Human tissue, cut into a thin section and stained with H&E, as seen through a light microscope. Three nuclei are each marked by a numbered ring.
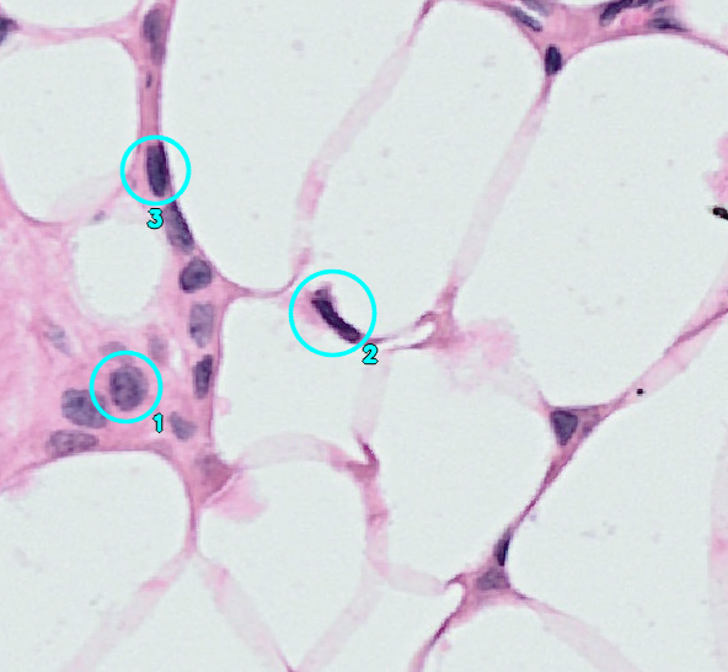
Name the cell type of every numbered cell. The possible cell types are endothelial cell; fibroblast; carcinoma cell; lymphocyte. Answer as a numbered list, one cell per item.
1. carcinoma cell
2. endothelial cell
3. endothelial cell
